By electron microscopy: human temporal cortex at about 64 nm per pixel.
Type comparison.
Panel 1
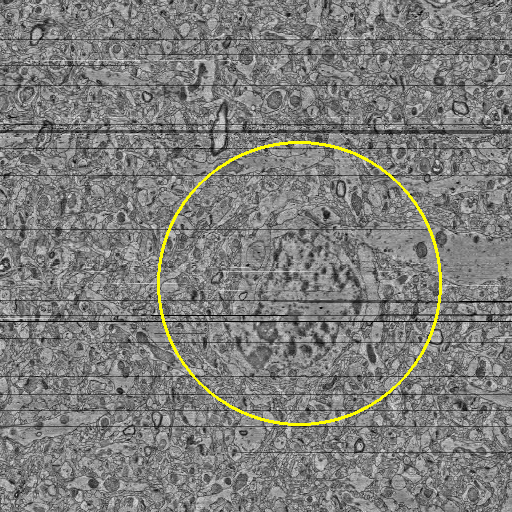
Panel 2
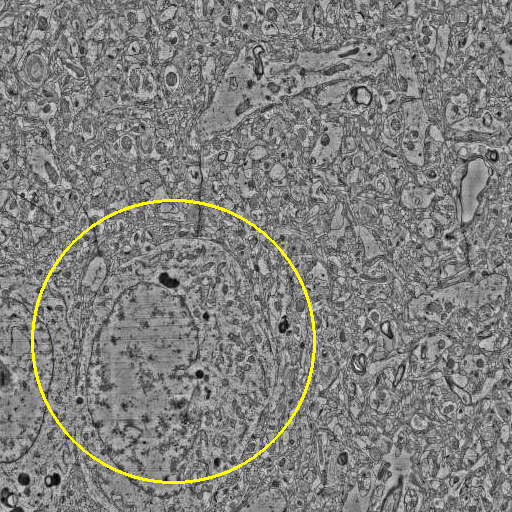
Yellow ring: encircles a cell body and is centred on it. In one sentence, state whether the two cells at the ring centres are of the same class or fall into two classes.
In these panels, the two cells at the ring centres are of the same class.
